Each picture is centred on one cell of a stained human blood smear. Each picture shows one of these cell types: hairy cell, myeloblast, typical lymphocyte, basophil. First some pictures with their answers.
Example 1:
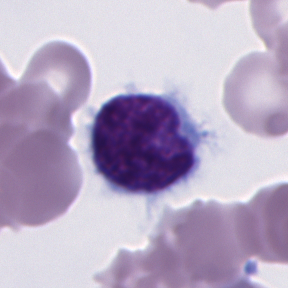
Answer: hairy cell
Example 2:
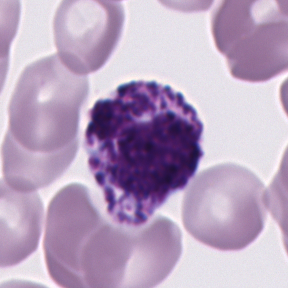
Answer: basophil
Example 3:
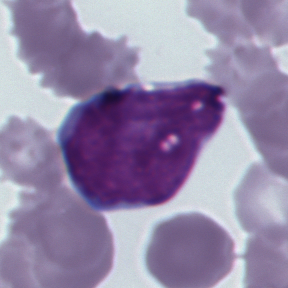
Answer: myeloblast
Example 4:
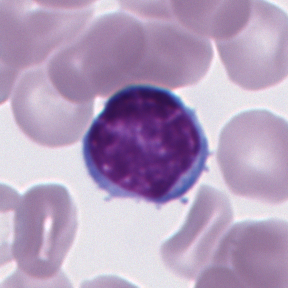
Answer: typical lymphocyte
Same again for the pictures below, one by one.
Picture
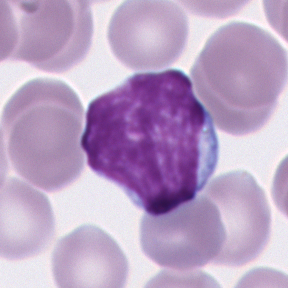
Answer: typical lymphocyte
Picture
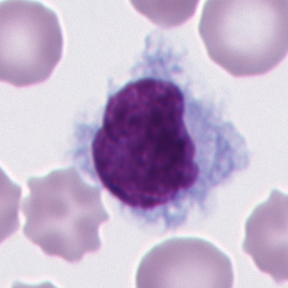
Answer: hairy cell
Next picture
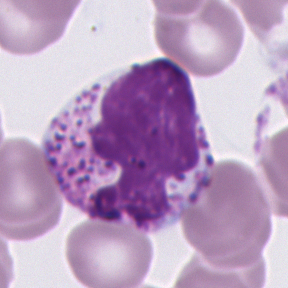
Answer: basophil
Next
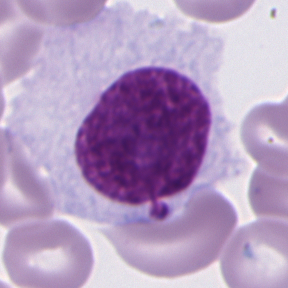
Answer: hairy cell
